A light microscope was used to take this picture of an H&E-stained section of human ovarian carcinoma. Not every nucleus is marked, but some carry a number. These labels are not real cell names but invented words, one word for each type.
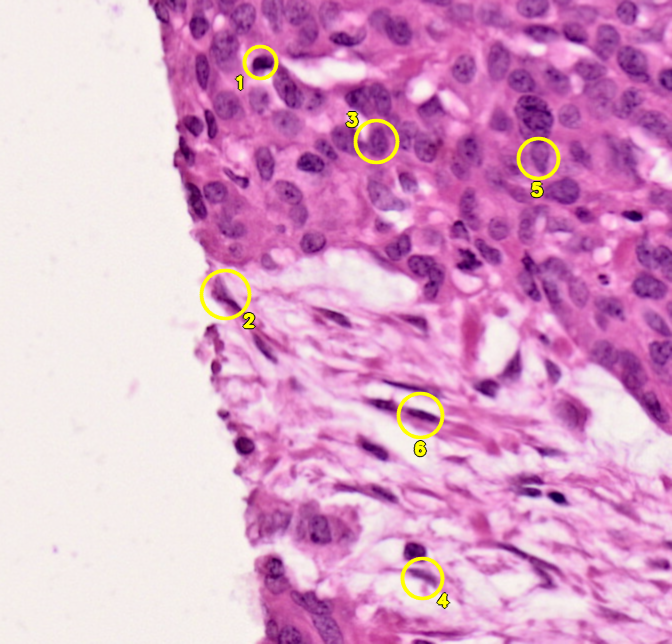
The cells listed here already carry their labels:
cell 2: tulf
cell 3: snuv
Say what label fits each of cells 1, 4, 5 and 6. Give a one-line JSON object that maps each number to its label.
{"1": "snuv", "4": "tulf", "5": "snuv", "6": "tulf"}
